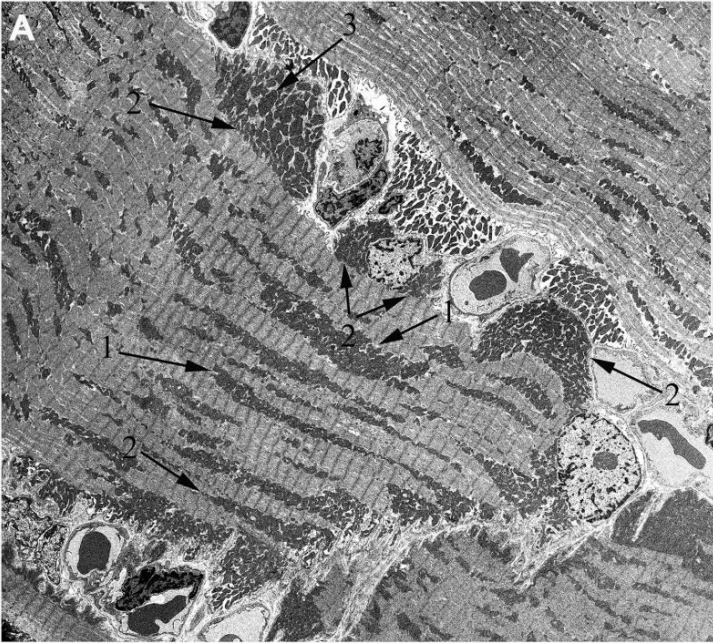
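Skeletal muscle fibres are seen in longitudinal section, with regular cross-striations along parallel myofibrils. Dark, electron-dense mitochondria form long rows and clusters between the myofibrils. Larger masses of mitochondria accumulate around nuclei and under the fibre surface. Capillaries containing dark red blood cells run between the fibres, and rounded nuclei with dispersed chromatin lie near them.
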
